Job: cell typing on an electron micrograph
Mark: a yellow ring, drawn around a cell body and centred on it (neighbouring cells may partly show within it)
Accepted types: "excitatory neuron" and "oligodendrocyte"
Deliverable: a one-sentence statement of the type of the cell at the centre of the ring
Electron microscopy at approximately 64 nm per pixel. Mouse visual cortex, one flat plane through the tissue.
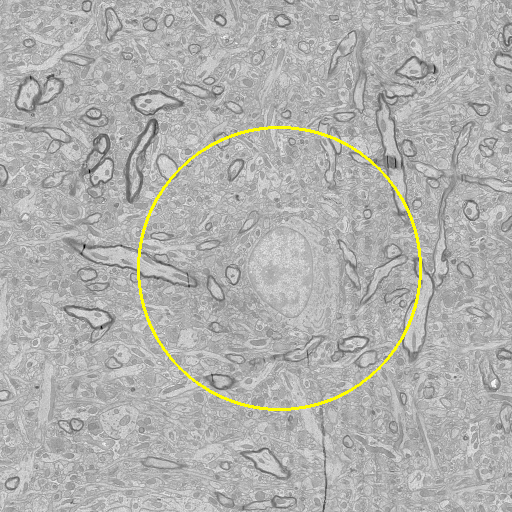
The centred cell body is that of an oligodendrocyte.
